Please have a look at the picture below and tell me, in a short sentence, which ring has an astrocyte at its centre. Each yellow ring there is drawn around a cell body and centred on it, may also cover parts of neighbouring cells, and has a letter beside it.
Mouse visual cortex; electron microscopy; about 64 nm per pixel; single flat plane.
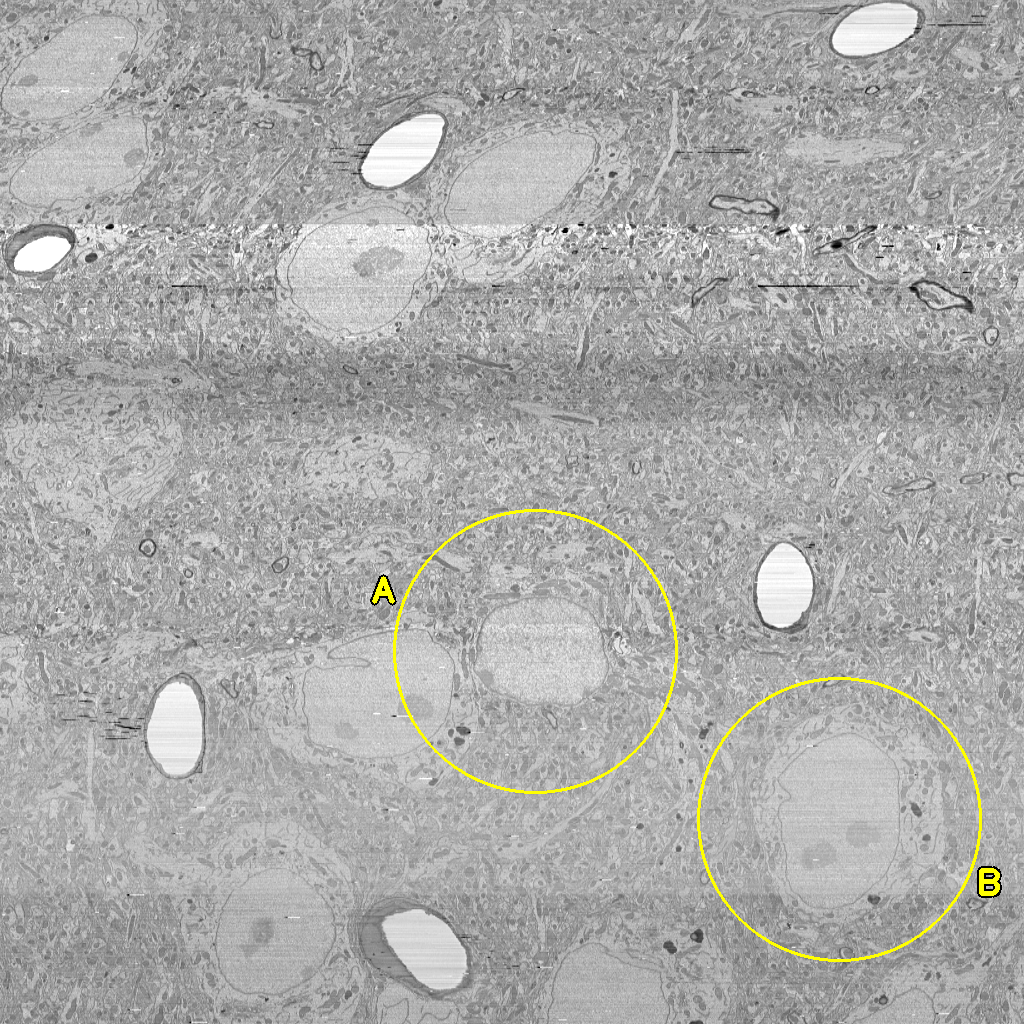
Ring A is centred on it.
